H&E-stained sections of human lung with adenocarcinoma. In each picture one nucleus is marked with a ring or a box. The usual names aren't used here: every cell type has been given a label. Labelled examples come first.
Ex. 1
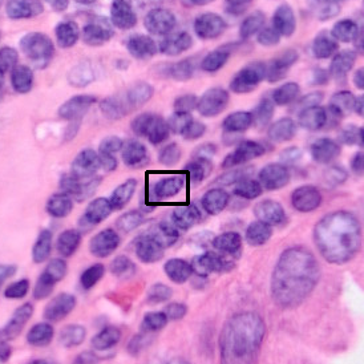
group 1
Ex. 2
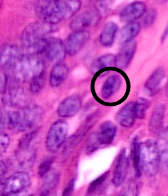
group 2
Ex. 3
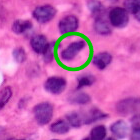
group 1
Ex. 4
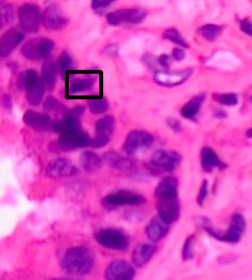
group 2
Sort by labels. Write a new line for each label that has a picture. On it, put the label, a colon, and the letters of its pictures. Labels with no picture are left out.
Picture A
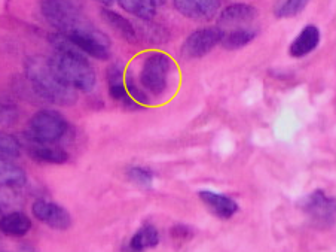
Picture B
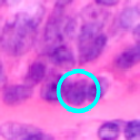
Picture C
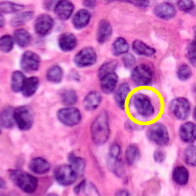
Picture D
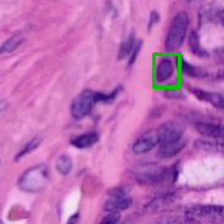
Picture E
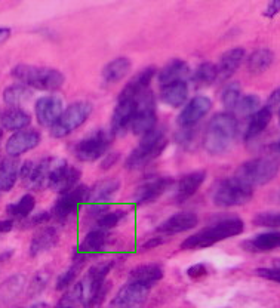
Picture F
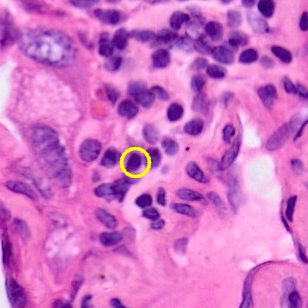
group 1: C, F
group 2: A, B, D, E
